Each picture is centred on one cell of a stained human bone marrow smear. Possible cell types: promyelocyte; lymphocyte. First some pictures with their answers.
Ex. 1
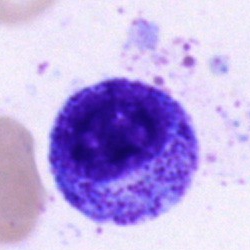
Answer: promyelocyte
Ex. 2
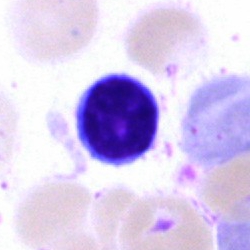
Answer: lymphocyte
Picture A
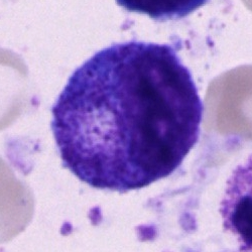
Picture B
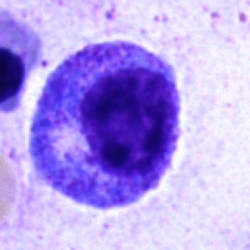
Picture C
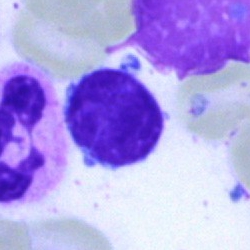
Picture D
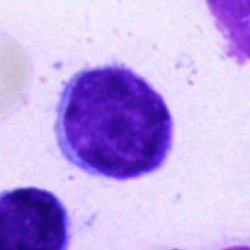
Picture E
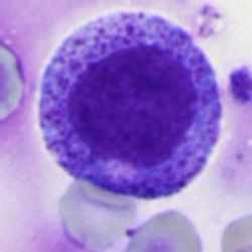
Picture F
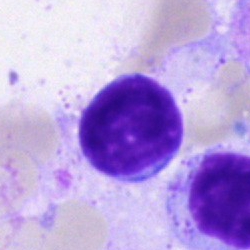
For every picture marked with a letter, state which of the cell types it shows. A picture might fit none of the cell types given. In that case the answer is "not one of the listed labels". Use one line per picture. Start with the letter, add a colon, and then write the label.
A: promyelocyte
B: promyelocyte
C: lymphocyte
D: lymphocyte
E: promyelocyte
F: lymphocyte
